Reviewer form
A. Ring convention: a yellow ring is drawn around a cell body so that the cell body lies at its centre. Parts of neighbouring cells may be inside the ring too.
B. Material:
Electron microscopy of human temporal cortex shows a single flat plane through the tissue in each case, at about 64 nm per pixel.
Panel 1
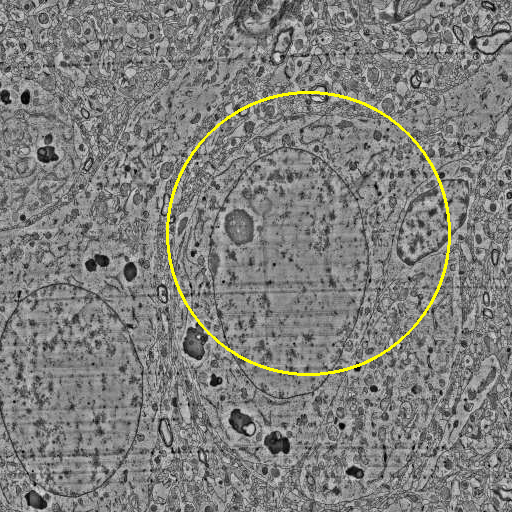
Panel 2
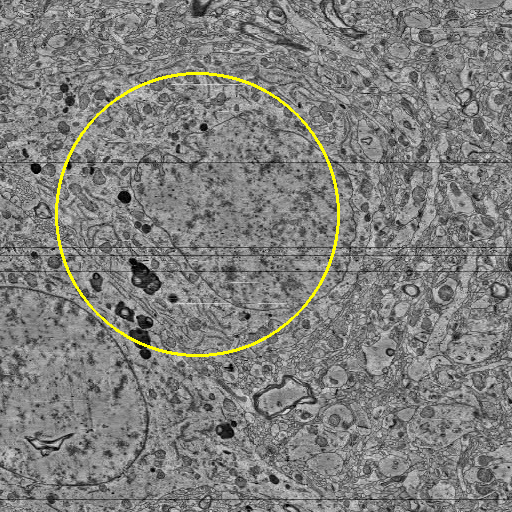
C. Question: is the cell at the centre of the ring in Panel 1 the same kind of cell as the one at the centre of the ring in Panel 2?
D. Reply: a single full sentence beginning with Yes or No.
No, the cells in Panel 1 and Panel 2 are two kinds of cell.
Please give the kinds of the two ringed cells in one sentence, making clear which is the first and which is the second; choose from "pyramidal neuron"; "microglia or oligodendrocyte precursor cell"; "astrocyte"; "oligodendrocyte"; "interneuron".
In the second picture the ringed cell is an interneuron; in the first it is a pyramidal neuron.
